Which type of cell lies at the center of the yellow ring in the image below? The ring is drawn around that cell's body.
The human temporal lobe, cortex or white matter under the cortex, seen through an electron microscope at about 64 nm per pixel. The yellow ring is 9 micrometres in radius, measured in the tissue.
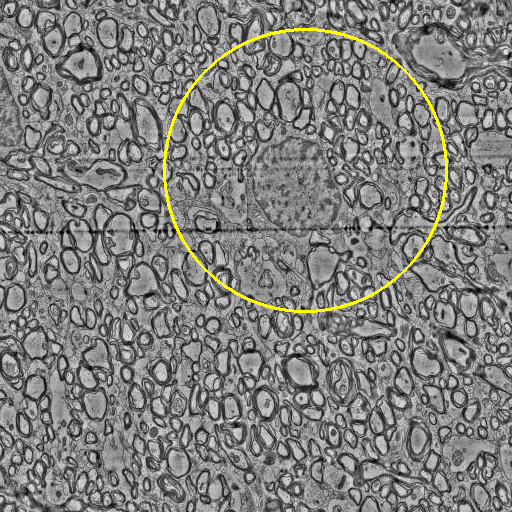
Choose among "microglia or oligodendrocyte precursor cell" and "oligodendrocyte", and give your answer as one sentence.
The cell body at the center belongs to an oligodendrocyte.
